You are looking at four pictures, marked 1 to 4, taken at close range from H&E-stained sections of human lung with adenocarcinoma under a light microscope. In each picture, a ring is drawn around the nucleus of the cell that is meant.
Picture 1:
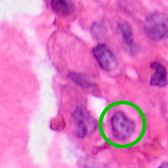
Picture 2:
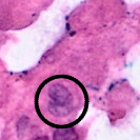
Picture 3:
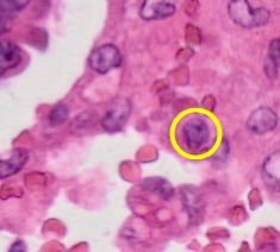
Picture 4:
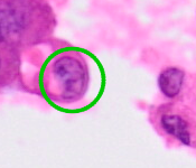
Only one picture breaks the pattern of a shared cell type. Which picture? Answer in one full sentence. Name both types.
The others show “macrophages or monocytes”, but picture 4 shows a carcinoma cell.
